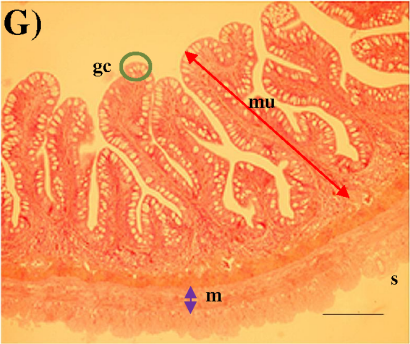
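A stretch of intestinal wall stained in shades of pink and red shows tall, slender mucosal folds that branch and project toward the lumen. Below the folds lies a compact, more homogeneous pink band of muscle, and beyond it a thin outer layer borders the section. These are the mucosa with its goblet cells, the muscularis layer and the serosa of the gut.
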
